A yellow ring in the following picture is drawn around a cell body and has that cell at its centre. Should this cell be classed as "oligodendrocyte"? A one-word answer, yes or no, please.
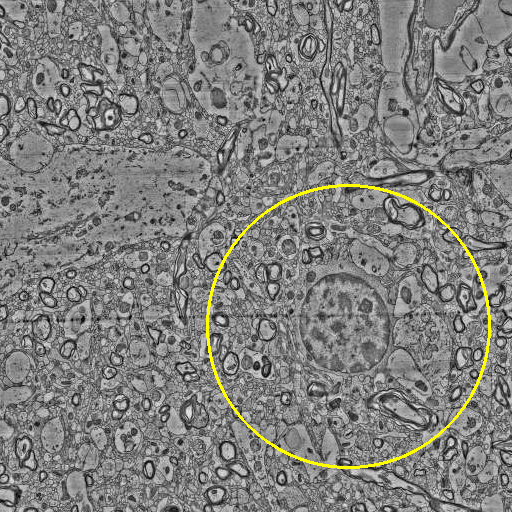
Yes, it is of that kind.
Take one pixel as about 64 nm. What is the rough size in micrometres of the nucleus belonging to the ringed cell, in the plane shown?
The nucleus comes to roughly 7 by 6 micrometres in this plane.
